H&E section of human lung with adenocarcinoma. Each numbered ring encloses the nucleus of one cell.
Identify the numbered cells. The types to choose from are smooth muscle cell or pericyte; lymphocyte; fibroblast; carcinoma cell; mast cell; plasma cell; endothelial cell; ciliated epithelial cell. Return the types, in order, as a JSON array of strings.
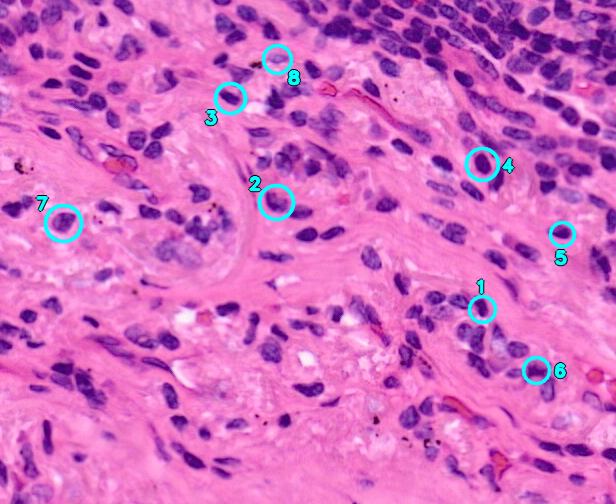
["plasma cell", "lymphocyte", "lymphocyte", "plasma cell", "lymphocyte", "plasma cell", "lymphocyte", "lymphocyte"]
